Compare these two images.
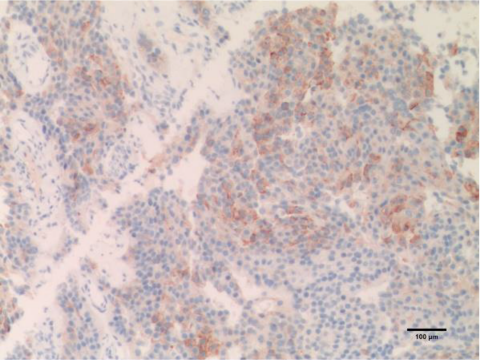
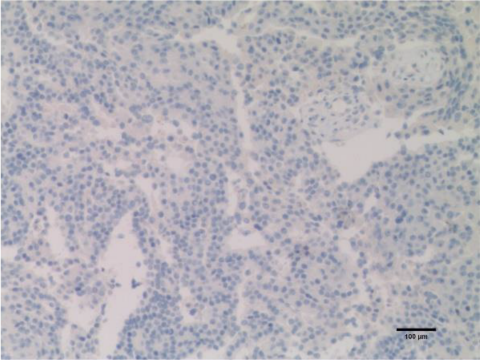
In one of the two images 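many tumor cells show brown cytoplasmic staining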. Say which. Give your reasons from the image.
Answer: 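The first image. Second image: the tumor cells are blue with no brown staining. First image: clusters of tumor cells have brown cytoplasm.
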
